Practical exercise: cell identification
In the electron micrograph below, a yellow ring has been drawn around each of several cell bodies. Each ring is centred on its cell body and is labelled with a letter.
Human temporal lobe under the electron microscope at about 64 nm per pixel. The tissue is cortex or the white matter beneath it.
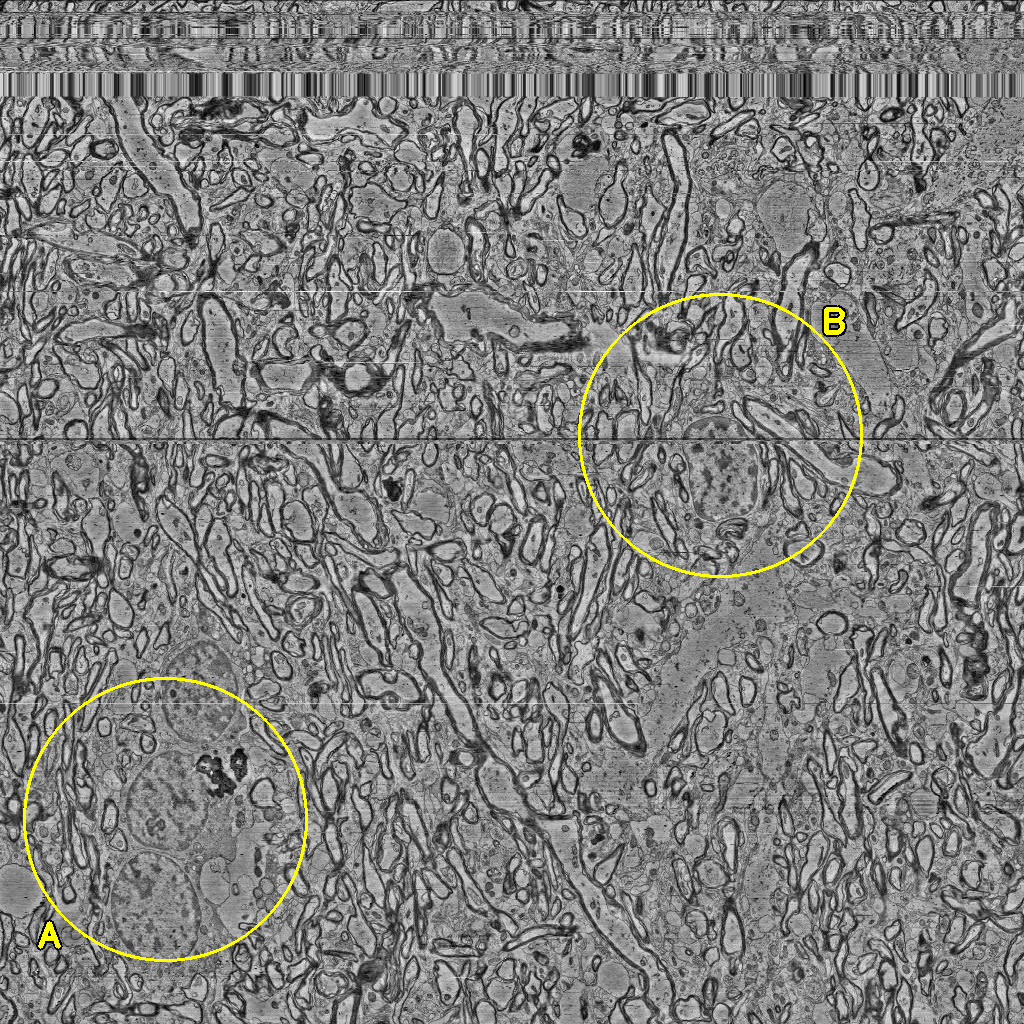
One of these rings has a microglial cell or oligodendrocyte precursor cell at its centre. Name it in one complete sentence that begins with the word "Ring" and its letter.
Ring B has that cell at its centre.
